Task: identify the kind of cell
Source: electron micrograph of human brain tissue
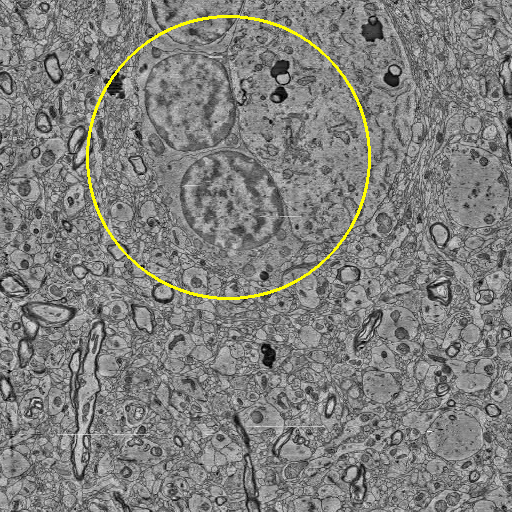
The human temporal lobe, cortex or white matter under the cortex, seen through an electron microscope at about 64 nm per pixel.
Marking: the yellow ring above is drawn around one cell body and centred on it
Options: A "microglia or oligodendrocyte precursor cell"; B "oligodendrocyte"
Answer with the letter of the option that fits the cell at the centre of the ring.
B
